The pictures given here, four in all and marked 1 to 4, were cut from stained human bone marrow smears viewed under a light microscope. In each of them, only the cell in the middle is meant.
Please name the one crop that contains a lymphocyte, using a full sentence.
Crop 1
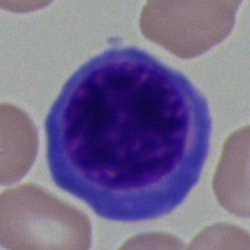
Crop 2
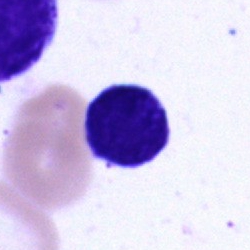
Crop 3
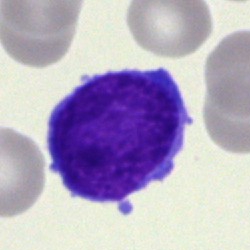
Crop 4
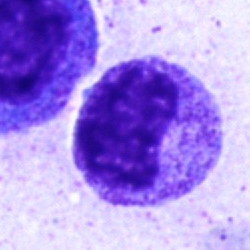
The crop showing a lymphocyte in this series is crop 2.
